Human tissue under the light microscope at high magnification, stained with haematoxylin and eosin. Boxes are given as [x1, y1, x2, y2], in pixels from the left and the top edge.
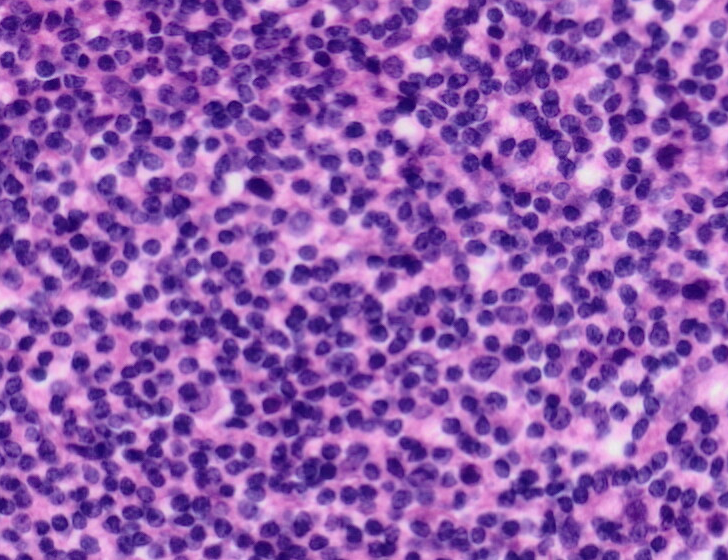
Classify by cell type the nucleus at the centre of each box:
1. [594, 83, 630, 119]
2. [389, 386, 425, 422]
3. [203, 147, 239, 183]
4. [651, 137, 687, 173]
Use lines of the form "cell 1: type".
cell 1: small lymphocyte
cell 2: small lymphocyte
cell 3: small lymphocyte
cell 4: proliferating B cell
